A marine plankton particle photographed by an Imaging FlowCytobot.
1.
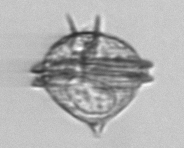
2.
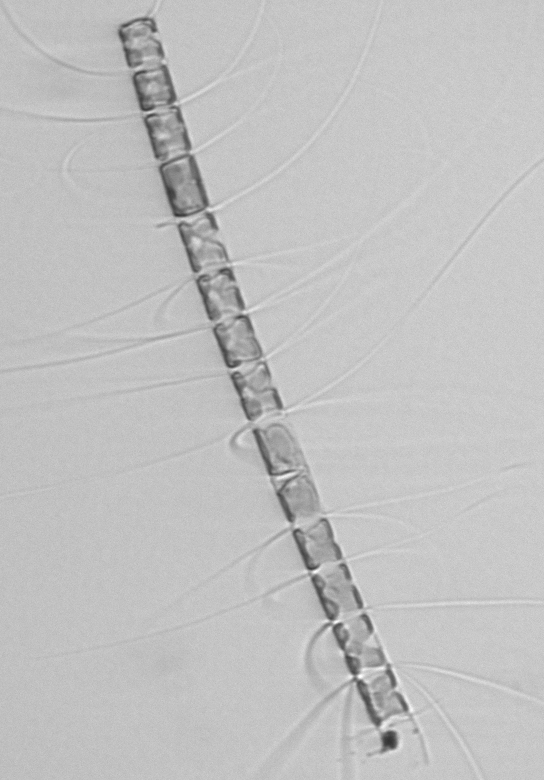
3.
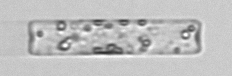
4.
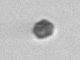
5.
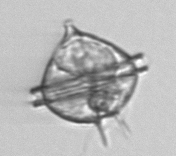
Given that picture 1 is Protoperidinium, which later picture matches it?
5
